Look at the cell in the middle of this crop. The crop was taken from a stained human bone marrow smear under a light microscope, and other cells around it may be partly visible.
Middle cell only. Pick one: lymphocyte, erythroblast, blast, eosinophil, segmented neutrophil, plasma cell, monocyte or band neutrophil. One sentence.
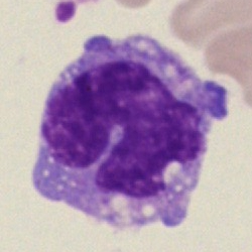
The central cell in this smear crop is a monocyte.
